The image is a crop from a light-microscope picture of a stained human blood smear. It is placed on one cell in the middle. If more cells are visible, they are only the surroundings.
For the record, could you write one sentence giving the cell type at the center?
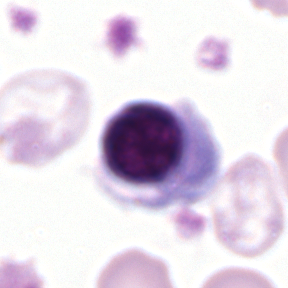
The cell around which this crop is centred is a normoblast.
